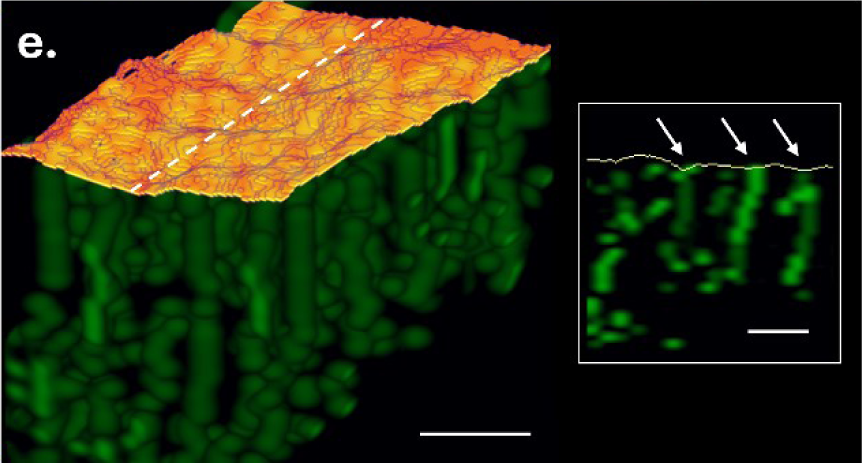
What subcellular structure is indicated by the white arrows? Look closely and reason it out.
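In the inset, green columns run down from a thin surface line. The arrows point to where the green columns meet the surface line. That points to this answer: T-tubule openings.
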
